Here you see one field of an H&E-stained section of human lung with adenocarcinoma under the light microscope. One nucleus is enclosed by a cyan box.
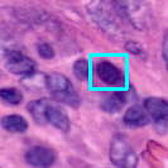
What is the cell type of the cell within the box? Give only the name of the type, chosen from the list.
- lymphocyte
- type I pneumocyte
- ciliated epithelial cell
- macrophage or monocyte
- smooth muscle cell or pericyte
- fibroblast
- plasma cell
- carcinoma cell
plasma cell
